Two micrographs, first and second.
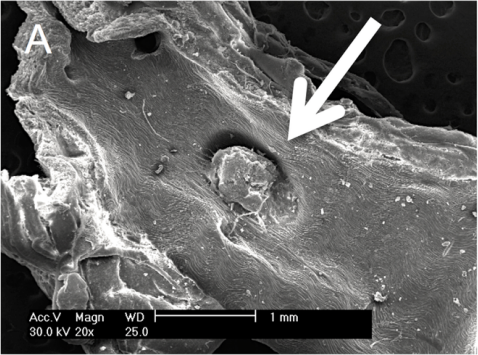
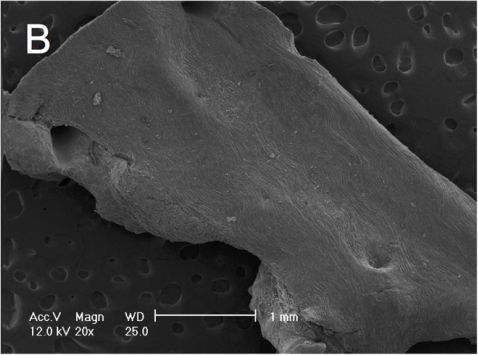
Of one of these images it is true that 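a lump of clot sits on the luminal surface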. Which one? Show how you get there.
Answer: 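The first image. Second image: the luminal surface is smooth and finely streaked, with no lump on it. First image: a rounded, irregular lump lies in a depression on the luminal surface.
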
